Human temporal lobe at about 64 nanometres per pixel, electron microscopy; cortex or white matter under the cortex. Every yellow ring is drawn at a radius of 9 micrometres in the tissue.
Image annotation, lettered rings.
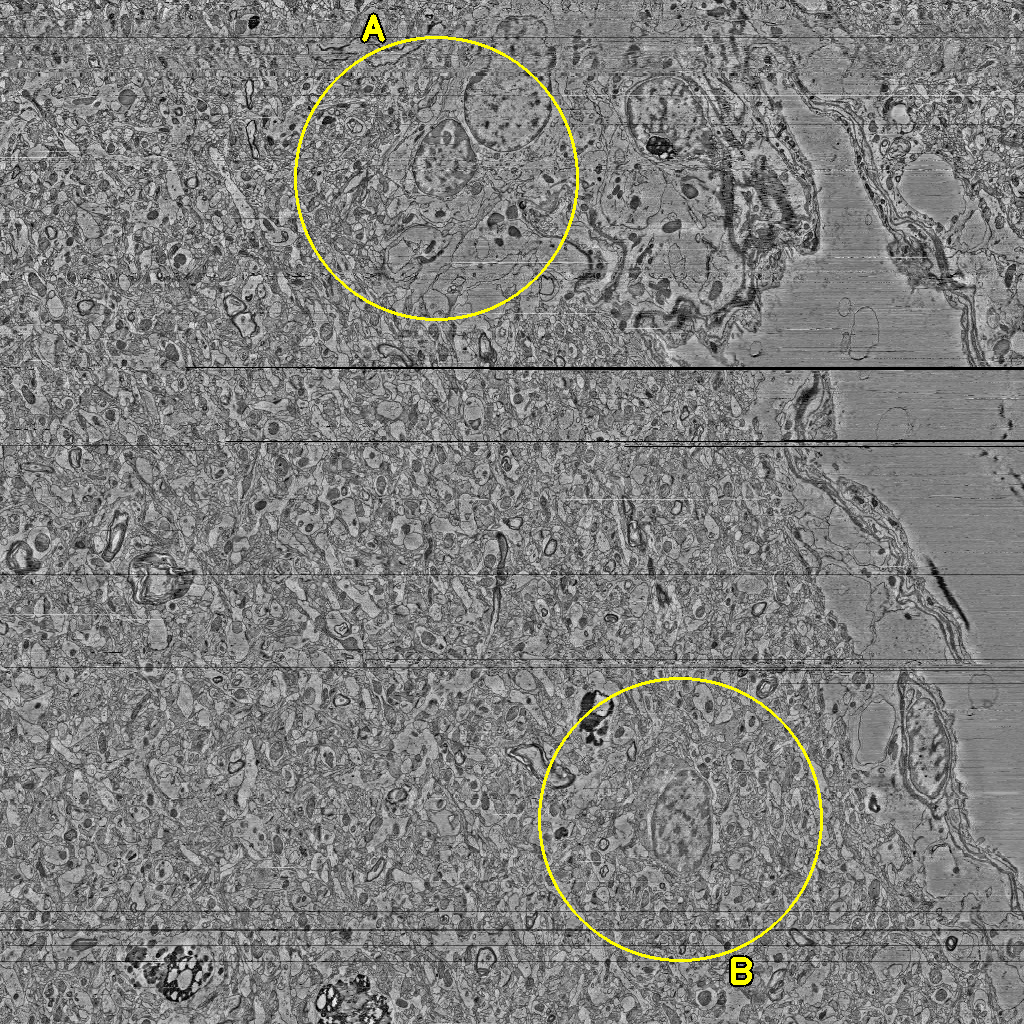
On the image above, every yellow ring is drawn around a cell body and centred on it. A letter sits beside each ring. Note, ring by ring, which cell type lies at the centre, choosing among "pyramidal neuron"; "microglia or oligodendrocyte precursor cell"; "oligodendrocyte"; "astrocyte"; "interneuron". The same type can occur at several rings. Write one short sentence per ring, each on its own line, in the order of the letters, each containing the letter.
Ring A has a microglial cell or oligodendrocyte precursor cell at its centre.
Ring B has an oligodendrocyte at its centre.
